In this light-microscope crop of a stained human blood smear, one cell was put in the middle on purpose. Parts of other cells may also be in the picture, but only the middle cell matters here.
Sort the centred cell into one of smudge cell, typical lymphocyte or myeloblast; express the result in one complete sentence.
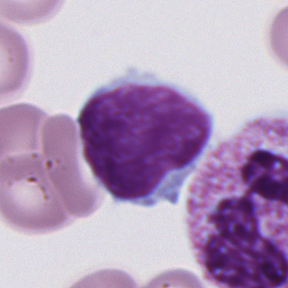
Present in the middle of the crop is a typical lymphocyte.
